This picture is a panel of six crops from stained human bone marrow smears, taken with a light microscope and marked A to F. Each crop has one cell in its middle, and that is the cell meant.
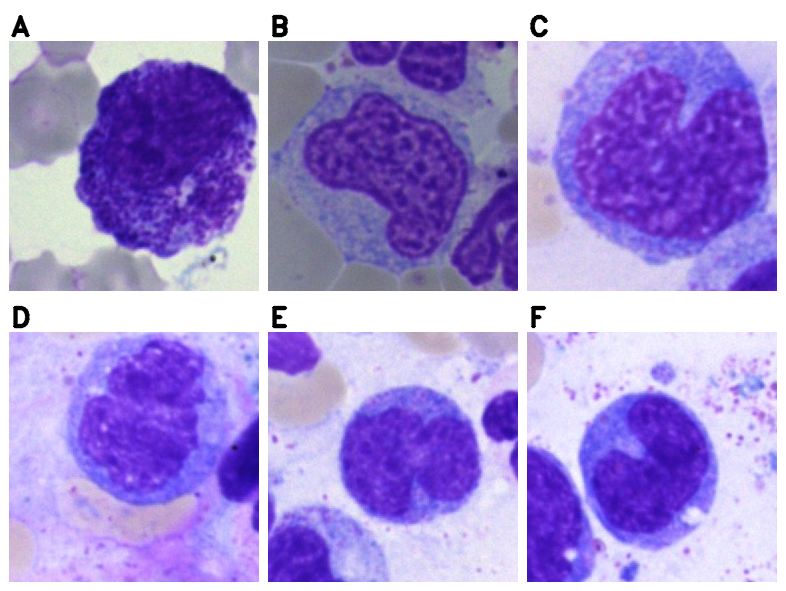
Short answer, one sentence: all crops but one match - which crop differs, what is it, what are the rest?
In crop A the central cell is a promyelocyte, whereas the other crops all contain monocytes.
